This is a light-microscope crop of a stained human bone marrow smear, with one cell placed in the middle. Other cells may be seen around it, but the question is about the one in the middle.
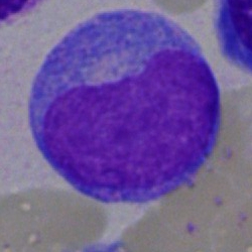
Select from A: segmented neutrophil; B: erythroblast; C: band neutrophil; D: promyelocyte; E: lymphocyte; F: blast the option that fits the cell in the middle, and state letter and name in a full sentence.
Well, the cell in the middle is a promyelocyte, making option D right.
